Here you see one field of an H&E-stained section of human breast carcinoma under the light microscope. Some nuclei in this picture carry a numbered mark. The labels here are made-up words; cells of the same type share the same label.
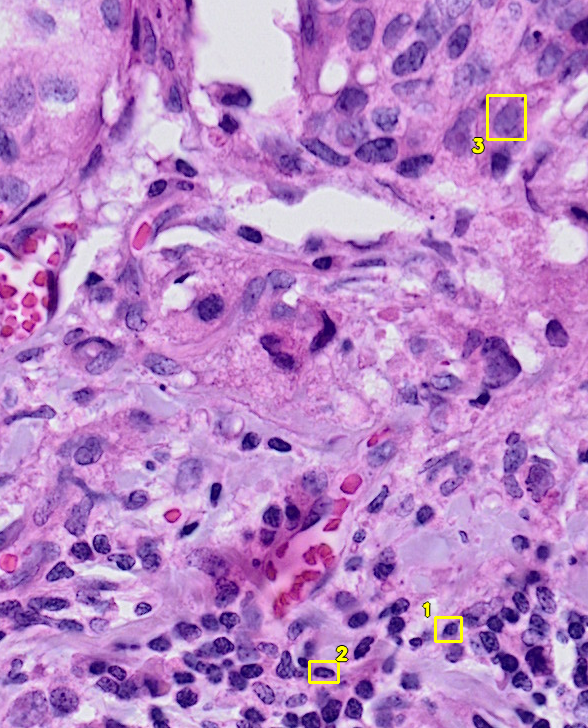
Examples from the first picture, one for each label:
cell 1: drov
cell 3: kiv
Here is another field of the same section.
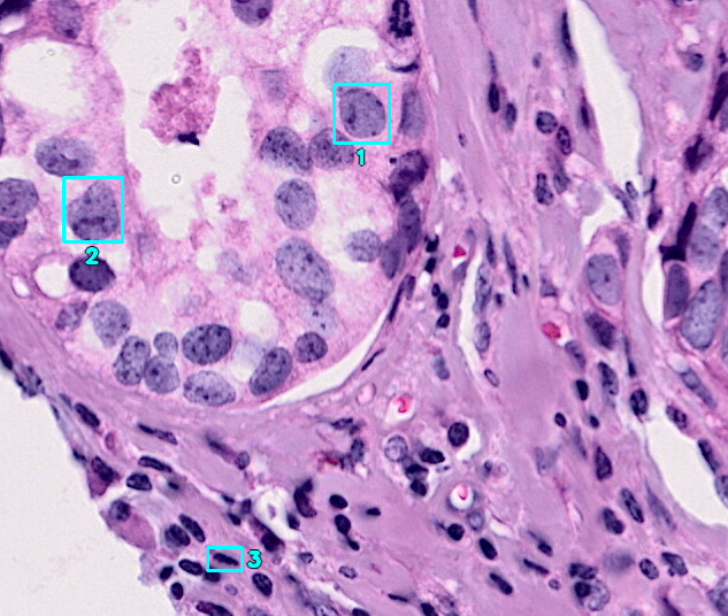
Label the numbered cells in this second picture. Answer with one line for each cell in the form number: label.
1: kiv
2: kiv
3: drov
